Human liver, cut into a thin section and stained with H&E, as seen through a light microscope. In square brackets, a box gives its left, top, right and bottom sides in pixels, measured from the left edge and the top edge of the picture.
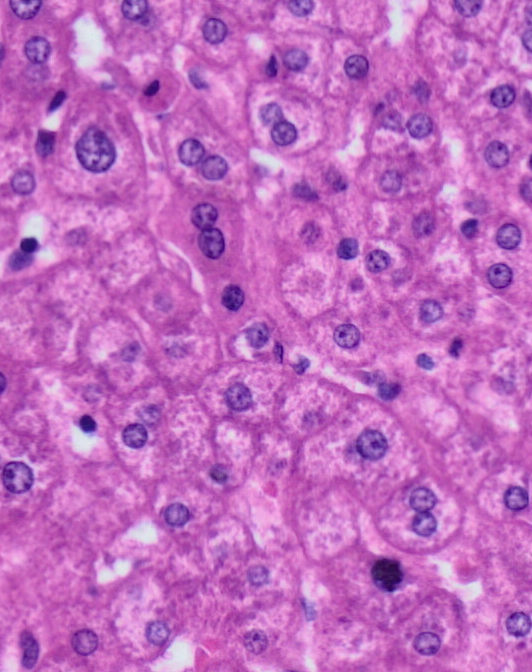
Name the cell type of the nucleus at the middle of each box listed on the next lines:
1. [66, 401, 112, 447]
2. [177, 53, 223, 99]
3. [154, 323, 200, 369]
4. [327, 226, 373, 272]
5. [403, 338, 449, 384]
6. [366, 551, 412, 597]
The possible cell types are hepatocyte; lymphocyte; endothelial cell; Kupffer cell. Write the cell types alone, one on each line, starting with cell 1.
lymphocyte
endothelial cell
hepatocyte
endothelial cell
lymphocyte
hepatocyte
